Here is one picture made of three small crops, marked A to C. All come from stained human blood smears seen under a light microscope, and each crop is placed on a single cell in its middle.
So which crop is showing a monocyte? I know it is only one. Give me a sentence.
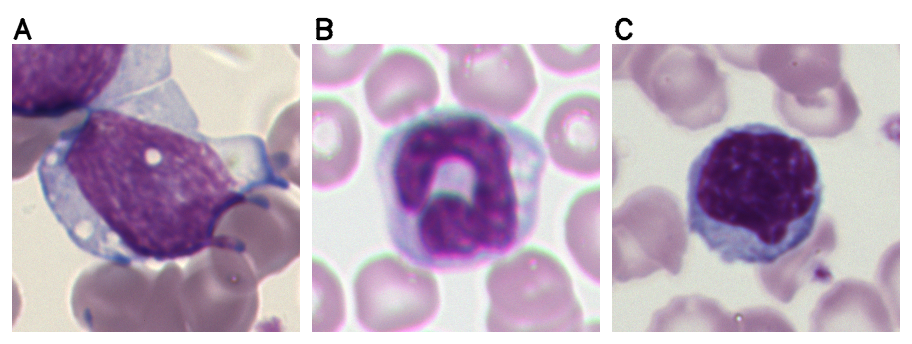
As for which crop shows a monocyte, it is crop B.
